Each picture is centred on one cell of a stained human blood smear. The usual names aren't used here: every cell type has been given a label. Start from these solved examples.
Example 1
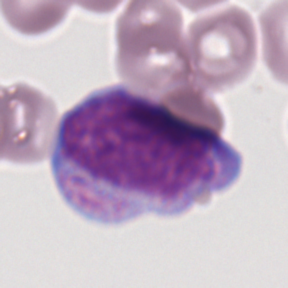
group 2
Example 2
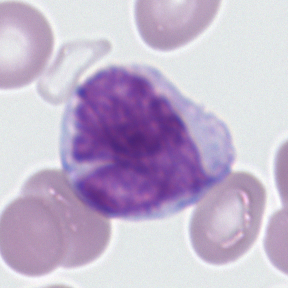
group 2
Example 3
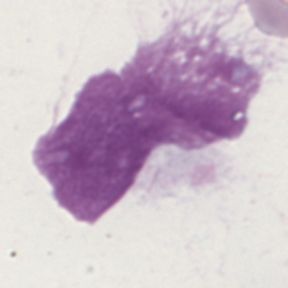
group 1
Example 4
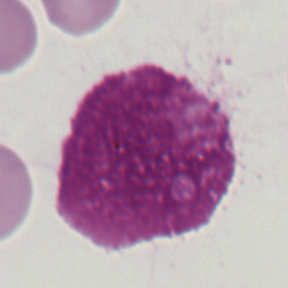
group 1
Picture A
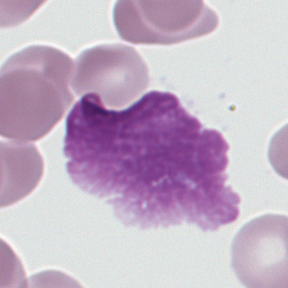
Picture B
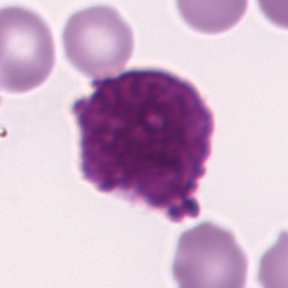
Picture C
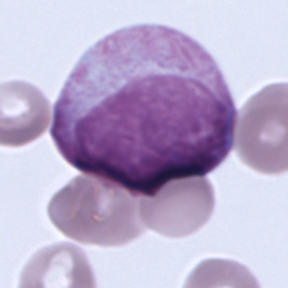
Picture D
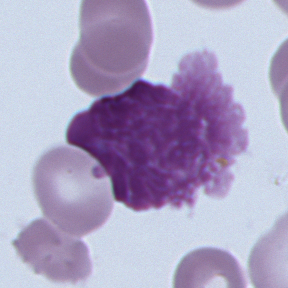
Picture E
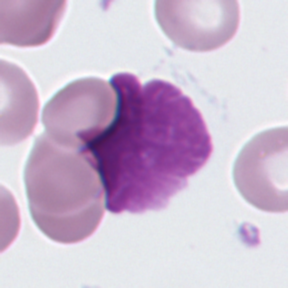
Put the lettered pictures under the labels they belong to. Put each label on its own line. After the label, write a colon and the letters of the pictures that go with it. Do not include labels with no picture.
group 2: C
group 1: A, B, D, E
